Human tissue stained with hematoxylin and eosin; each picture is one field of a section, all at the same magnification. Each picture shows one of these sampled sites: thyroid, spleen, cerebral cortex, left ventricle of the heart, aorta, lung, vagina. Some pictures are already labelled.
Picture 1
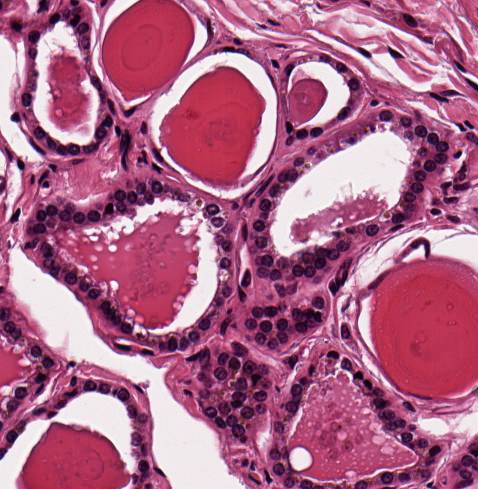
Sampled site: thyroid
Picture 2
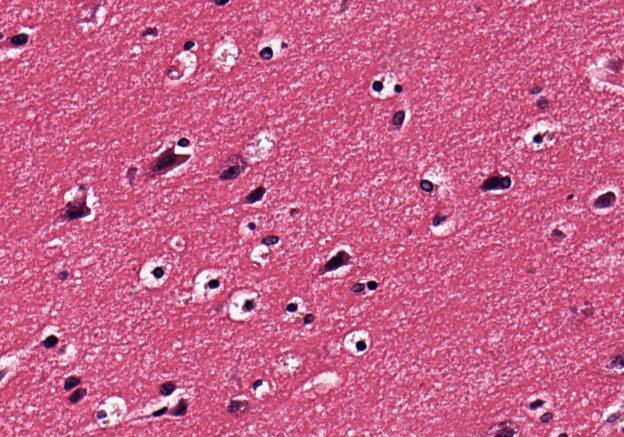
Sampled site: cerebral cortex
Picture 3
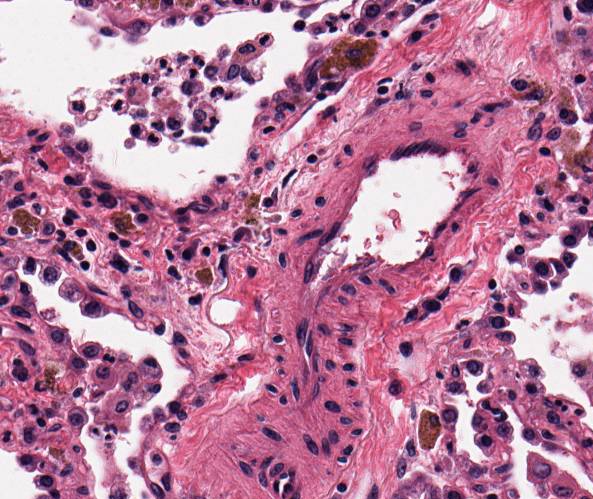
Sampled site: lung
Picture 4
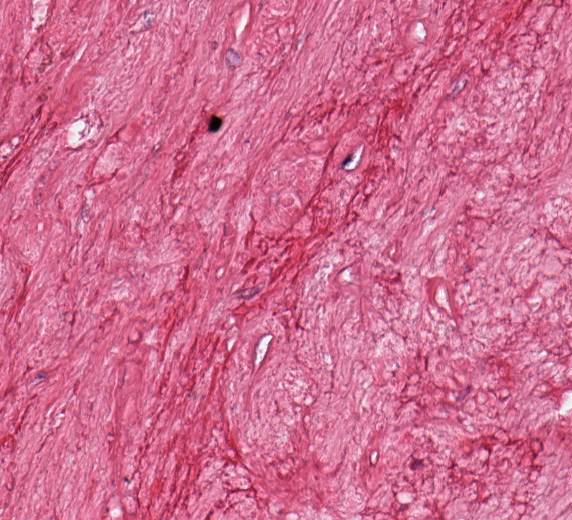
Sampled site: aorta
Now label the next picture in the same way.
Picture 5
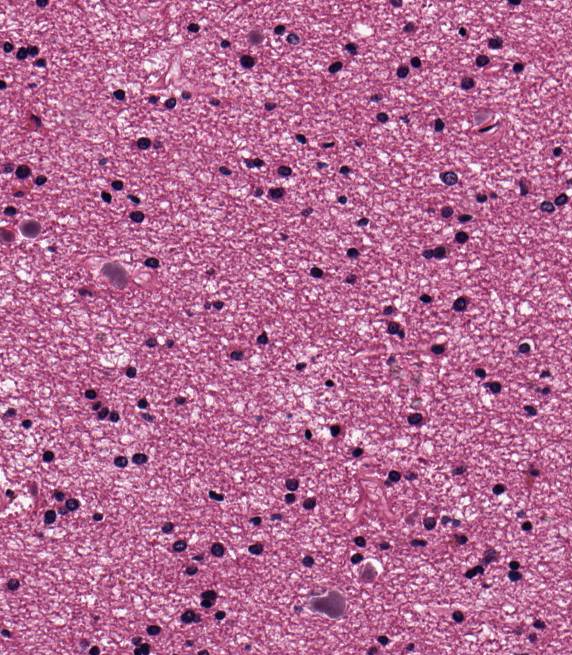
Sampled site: cerebral cortex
